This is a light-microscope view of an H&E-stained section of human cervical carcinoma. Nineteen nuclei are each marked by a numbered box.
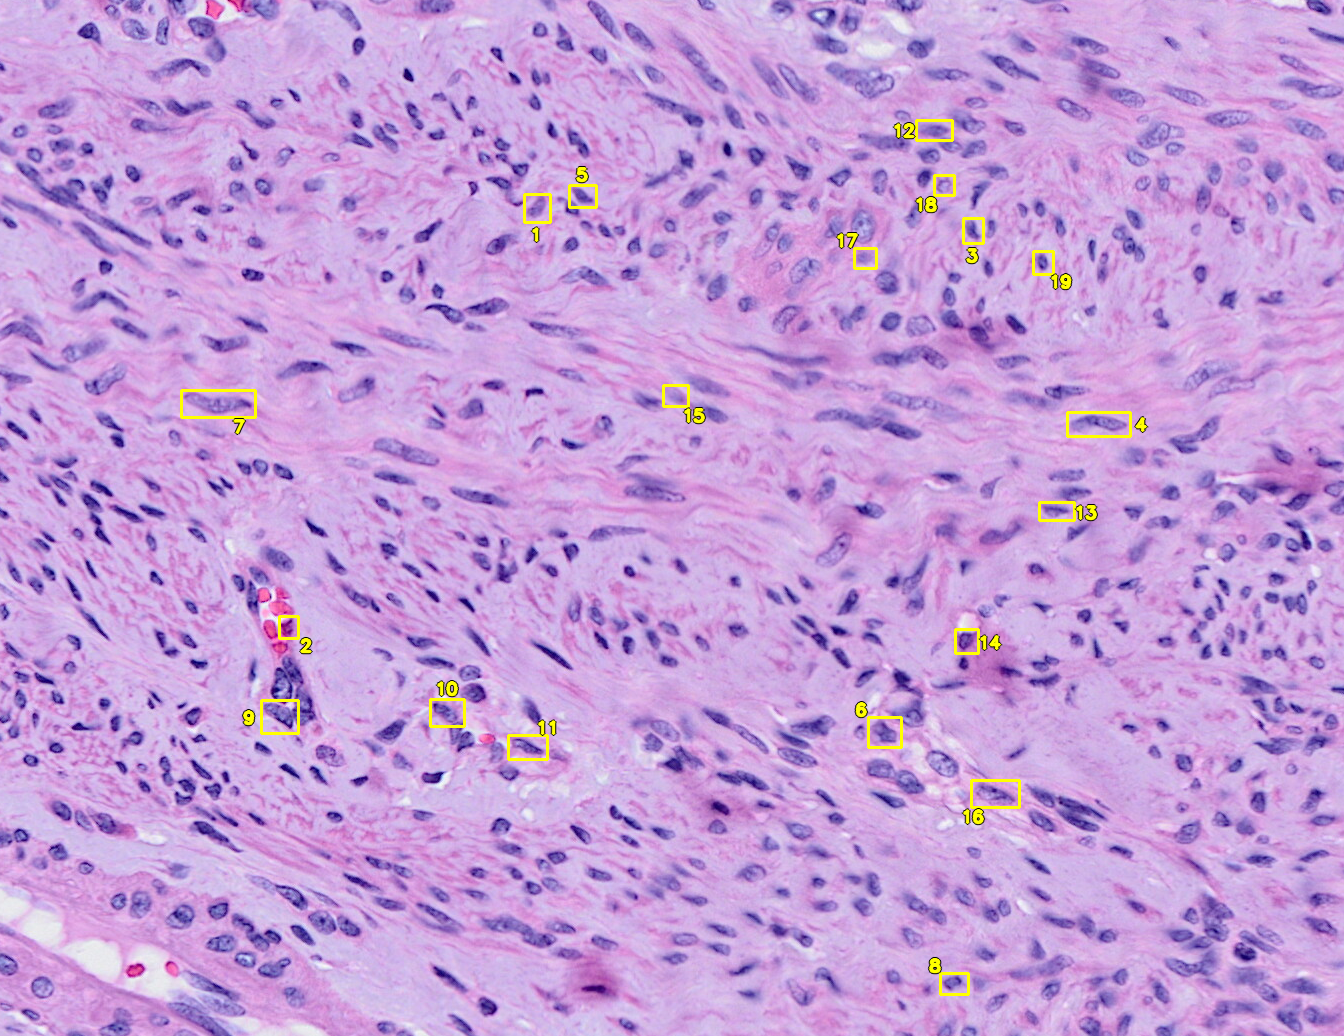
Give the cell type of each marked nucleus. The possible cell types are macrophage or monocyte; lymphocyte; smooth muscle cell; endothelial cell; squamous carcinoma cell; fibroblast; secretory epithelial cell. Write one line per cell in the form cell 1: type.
cell 1: smooth muscle cell
cell 2: endothelial cell
cell 3: smooth muscle cell
cell 4: fibroblast
cell 5: smooth muscle cell
cell 6: endothelial cell
cell 7: smooth muscle cell
cell 8: smooth muscle cell
cell 9: endothelial cell
cell 10: endothelial cell
cell 11: endothelial cell
cell 12: smooth muscle cell
cell 13: fibroblast
cell 14: endothelial cell
cell 15: smooth muscle cell
cell 16: endothelial cell
cell 17: smooth muscle cell
cell 18: smooth muscle cell
cell 19: smooth muscle cell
